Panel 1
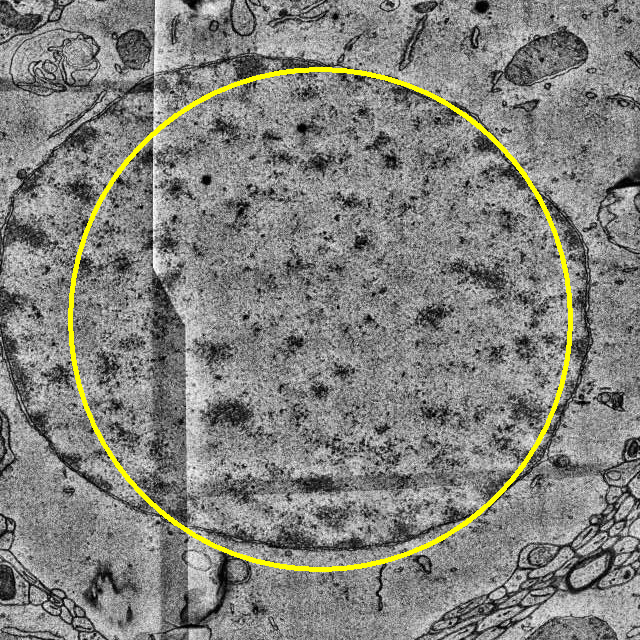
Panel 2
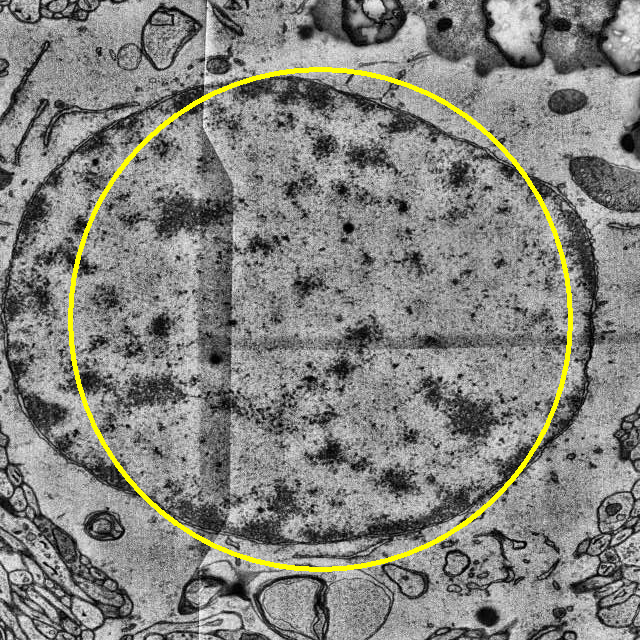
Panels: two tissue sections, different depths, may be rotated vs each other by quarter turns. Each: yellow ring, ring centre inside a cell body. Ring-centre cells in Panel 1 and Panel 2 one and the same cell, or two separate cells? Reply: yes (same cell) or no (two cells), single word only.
yes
